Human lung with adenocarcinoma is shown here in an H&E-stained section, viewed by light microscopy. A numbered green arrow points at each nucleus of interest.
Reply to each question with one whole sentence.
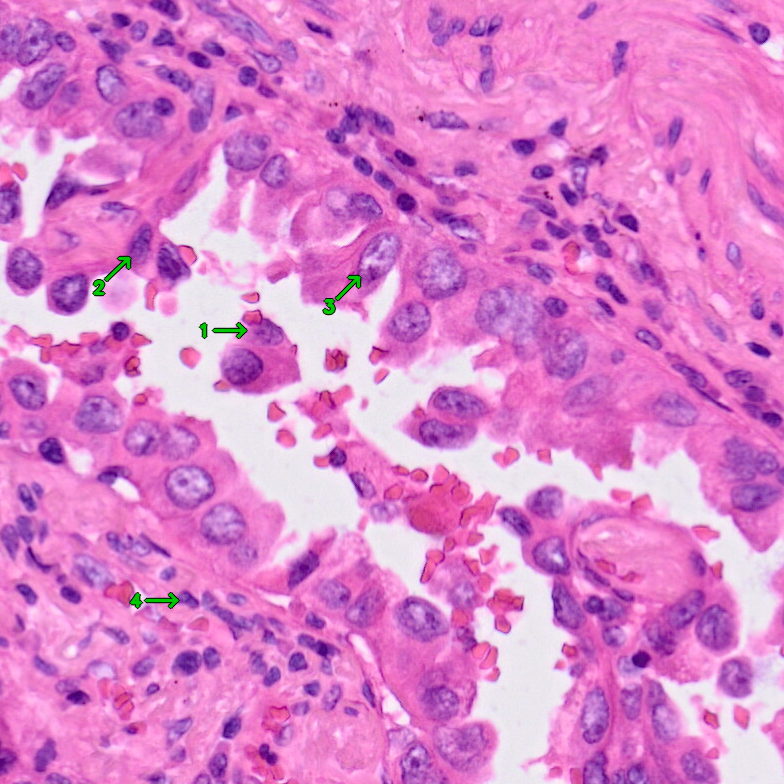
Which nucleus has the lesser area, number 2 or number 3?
With nucleus 3 about 2 times its size, nucleus 2 is the smaller of the two.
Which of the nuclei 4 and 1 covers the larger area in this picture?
Nucleus 1 is the larger one, covering about 4 times the area of nucleus 4.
